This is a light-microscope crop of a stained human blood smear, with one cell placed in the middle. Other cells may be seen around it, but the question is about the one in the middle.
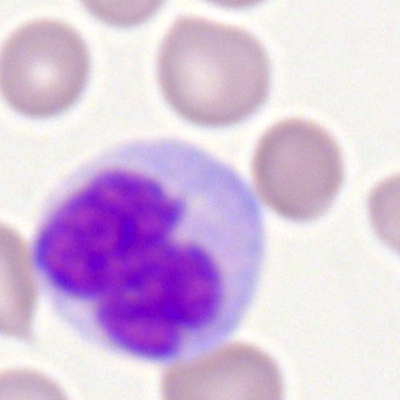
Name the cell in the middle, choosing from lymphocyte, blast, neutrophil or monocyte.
monocyte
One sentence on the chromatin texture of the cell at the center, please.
Take a look at the chromatin, which is coarsely clumped.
